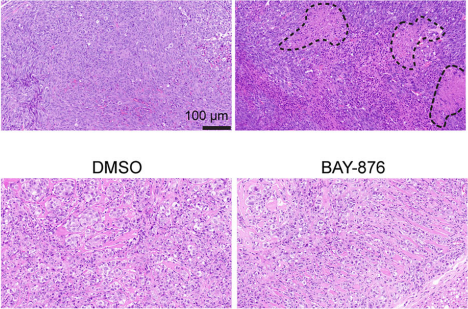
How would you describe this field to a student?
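In the upper pair the tumor is a dense sheet of crowded cells with many dark nuclei, packed with little intervening stroma. In one upper image, several irregular regions are outlined by dashed lines; these areas of necrosis stand apart in texture from the solid cellular tissue around them. In the lower pair the tumor cells are arranged more loosely, with paler pink cytoplasm, rounded nuclei and strands of pink stroma running between groups of cells.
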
